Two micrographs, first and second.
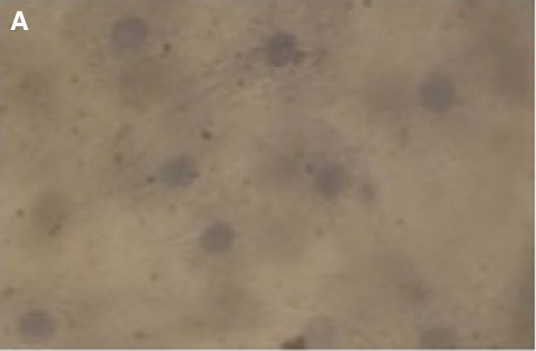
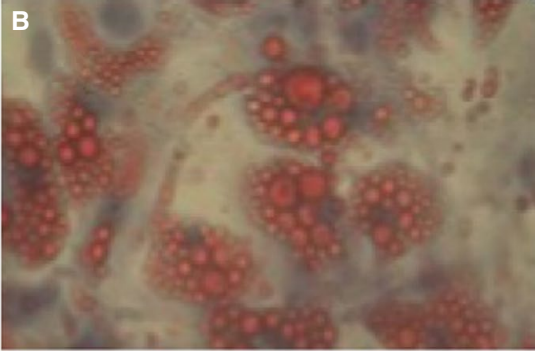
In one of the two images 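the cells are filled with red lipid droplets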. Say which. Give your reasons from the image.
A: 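First image: a pale field with faint grey nuclei and no red droplets. Second image: cells are packed with many round red droplets.
Conclusion: the second image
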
